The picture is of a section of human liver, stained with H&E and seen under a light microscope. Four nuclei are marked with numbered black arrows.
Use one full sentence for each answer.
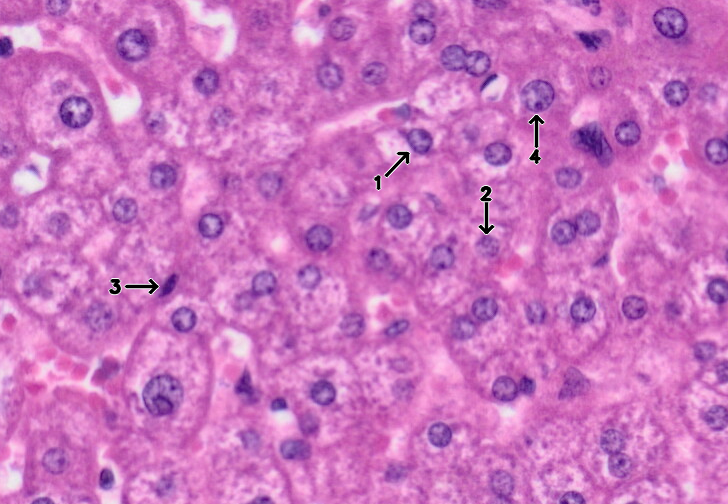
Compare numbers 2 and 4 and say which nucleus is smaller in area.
With nucleus 4 about 2 times its size, nucleus 2 is the smaller of the two.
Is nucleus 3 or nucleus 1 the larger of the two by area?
Nucleus 1 is the larger one, covering about 2 times the area of nucleus 3.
